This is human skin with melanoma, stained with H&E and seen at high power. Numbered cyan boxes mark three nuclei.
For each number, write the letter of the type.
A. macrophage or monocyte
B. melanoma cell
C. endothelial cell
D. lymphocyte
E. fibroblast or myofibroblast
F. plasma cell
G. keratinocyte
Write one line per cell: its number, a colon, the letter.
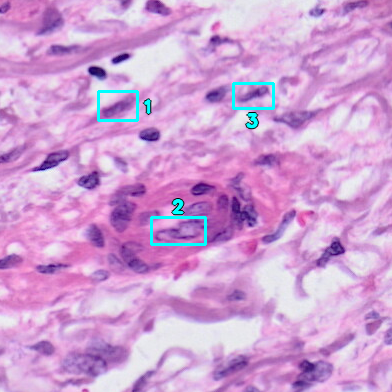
1: E
2: C
3: E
